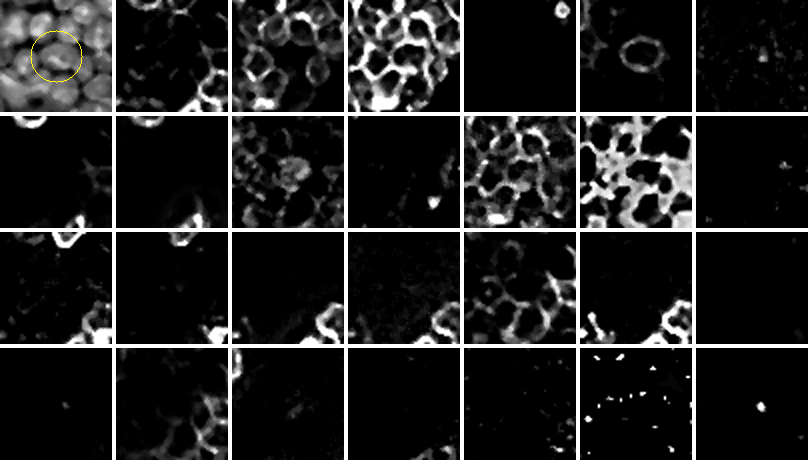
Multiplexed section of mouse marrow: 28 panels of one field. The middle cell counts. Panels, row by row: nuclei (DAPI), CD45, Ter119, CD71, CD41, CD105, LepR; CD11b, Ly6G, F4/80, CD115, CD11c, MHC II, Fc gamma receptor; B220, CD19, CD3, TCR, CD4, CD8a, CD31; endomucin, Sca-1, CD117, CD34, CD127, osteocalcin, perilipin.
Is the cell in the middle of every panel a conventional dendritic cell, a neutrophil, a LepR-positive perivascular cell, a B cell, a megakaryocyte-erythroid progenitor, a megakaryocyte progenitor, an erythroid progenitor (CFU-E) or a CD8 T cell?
It is a conventional dendritic cell.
